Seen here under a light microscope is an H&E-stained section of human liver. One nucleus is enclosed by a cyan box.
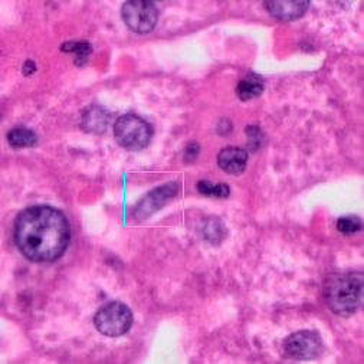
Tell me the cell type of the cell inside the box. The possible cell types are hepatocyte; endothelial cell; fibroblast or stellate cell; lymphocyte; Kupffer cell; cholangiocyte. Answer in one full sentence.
Placed in its cell category, the cell inside the box is a Kupffer cell.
